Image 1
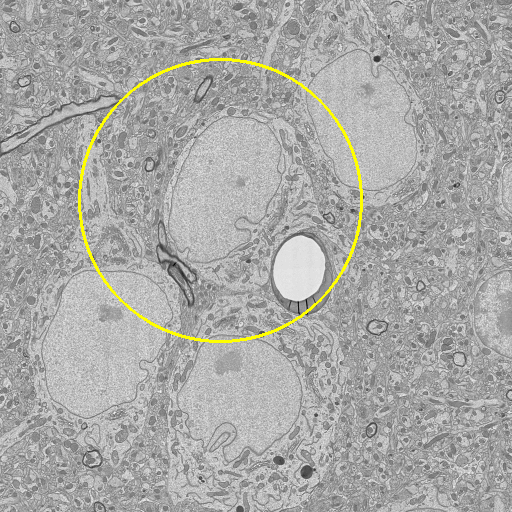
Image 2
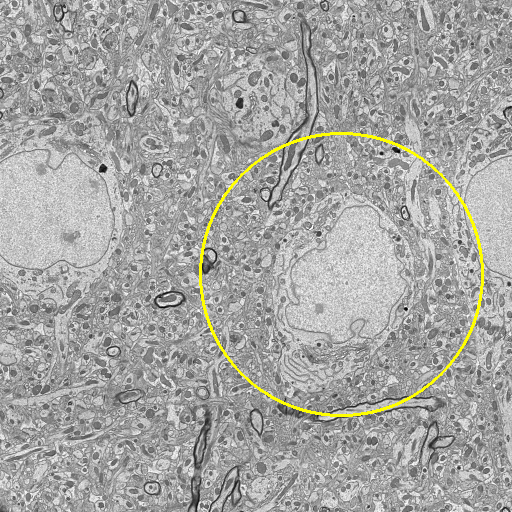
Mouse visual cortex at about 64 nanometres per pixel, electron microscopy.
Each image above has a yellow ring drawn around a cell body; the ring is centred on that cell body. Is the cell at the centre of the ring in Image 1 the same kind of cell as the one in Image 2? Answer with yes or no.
yes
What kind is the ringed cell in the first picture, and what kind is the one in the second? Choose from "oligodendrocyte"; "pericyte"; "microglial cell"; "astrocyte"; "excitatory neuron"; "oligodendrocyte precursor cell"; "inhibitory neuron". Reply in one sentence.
The second cell is an inhibitory neuron, just as the first is.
